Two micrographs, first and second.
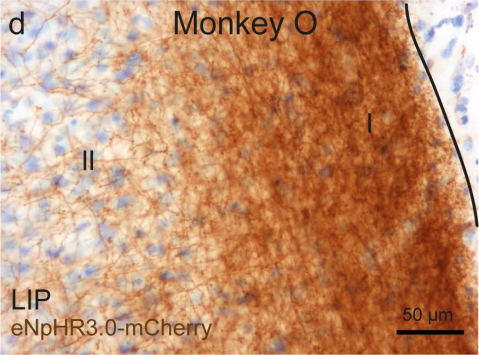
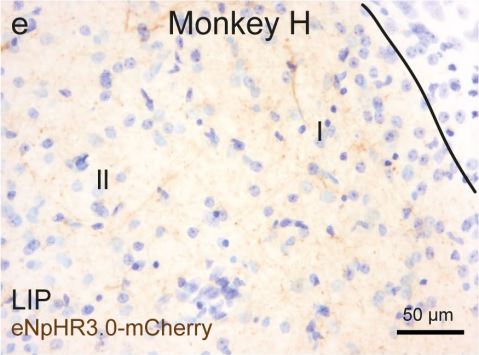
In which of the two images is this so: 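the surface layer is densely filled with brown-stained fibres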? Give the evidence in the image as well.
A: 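Second image: the layer beneath the surface is pale with only a few faint brown threads. First image: the layer beneath the surface is dark brown with a dense meshwork of fine fibres. The answer: the first image.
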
